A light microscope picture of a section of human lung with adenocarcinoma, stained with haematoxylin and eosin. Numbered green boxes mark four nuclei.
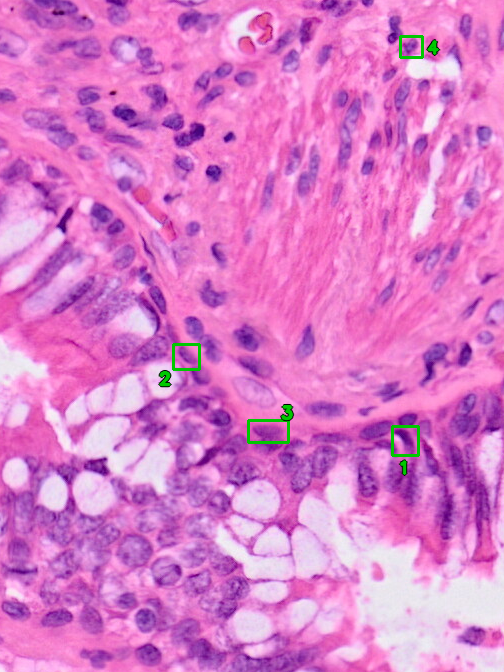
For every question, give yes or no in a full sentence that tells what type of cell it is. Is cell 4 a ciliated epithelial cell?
No, sorry, the cell labelled 4 is not a ciliated epithelial cell; it is a smooth muscle cell or pericyte.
